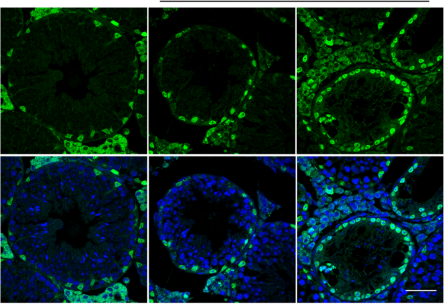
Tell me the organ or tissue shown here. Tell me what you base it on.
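Round tubule cross-sections with a multilayered epithelium around a central lumen. Interstitial tissue fills the spaces between the tubules.
Hence: seminiferous tubules.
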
